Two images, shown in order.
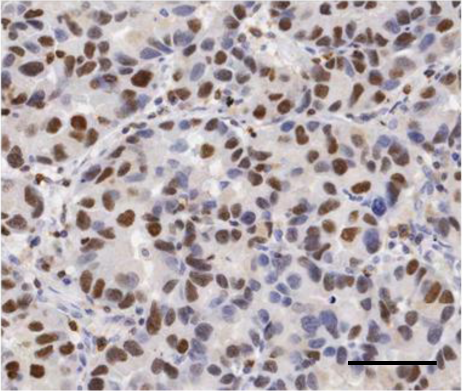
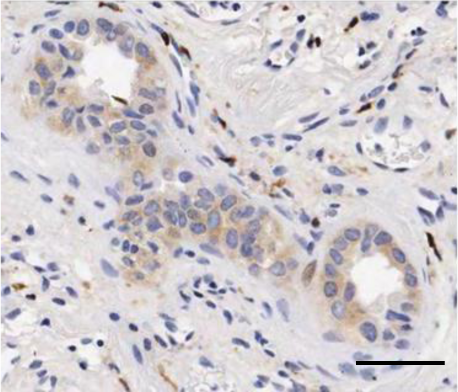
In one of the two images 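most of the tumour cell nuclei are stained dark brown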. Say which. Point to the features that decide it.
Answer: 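Second image: the nuclei of the gland-forming tumour cells are mostly blue, with faint brown in the cytoplasm.
Conclusion: the first image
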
